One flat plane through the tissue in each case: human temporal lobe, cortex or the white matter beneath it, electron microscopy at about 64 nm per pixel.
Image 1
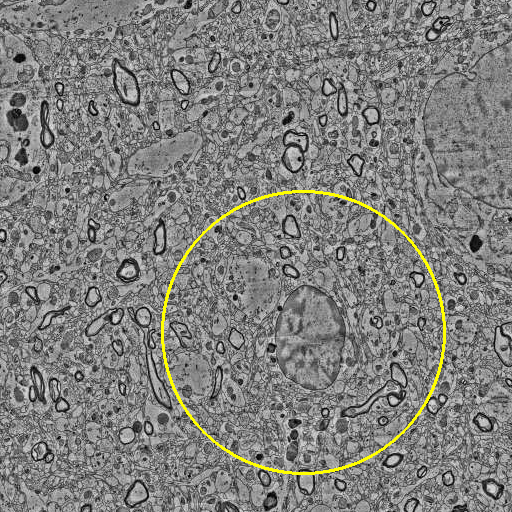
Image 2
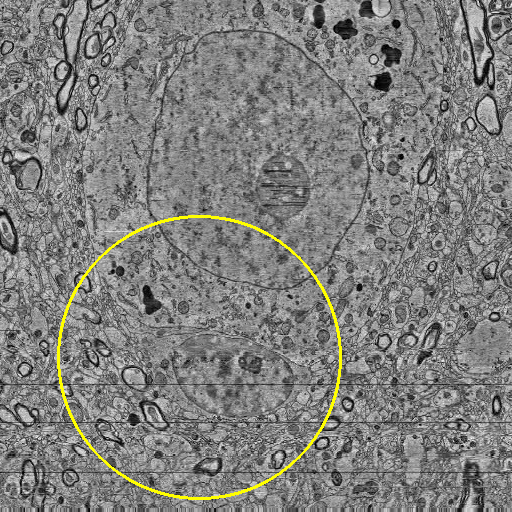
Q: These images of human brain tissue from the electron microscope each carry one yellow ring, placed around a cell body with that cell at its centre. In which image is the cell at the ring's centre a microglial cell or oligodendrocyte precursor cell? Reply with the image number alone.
1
